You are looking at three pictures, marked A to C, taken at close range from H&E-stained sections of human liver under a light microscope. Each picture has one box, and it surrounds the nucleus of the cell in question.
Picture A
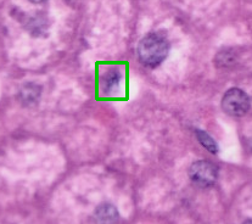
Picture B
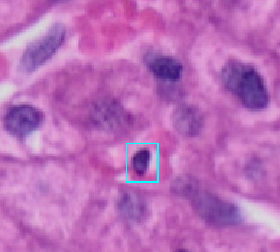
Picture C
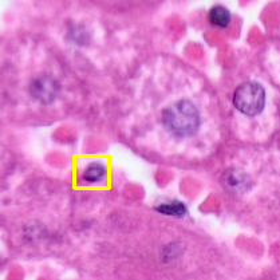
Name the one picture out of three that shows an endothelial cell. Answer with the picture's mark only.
A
